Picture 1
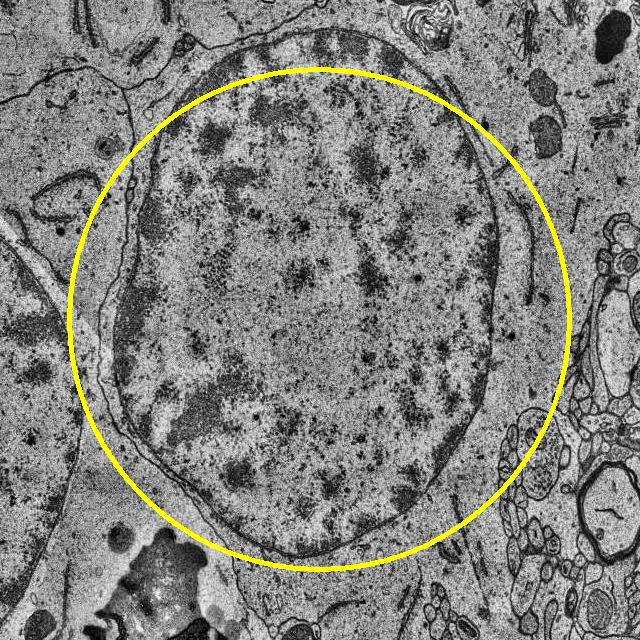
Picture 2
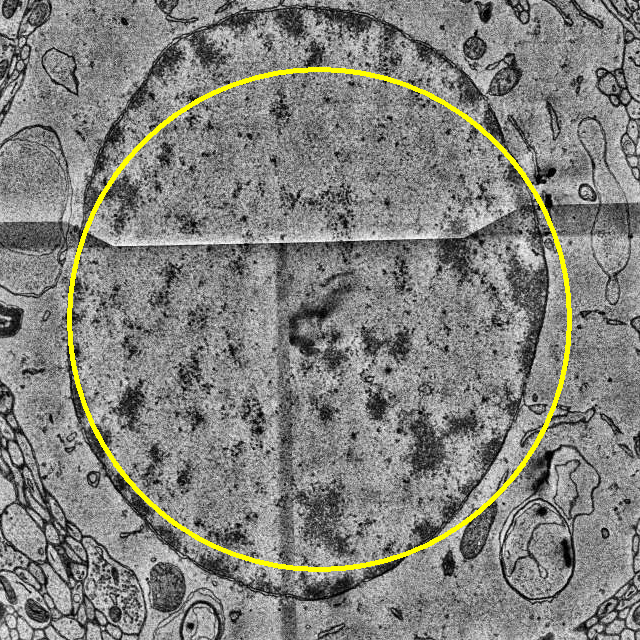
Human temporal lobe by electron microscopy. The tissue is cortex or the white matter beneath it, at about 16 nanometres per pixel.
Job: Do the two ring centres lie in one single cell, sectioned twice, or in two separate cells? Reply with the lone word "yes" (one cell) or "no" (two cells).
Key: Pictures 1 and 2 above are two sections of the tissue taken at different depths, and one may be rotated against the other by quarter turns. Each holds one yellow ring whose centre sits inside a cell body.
no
